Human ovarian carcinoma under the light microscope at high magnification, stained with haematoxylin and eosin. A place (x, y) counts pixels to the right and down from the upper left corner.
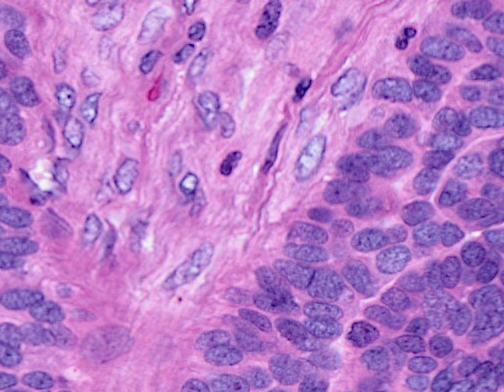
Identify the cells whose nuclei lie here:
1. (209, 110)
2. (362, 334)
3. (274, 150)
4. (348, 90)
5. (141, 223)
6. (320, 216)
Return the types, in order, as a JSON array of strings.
["fibroblast", "carcinoma cell", "fibroblast", "fibroblast", "fibroblast", "carcinoma cell"]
